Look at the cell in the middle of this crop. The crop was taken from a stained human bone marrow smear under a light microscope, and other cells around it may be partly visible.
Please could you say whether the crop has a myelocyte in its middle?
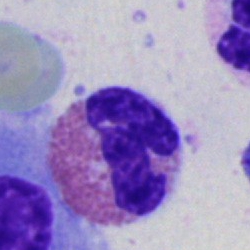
no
